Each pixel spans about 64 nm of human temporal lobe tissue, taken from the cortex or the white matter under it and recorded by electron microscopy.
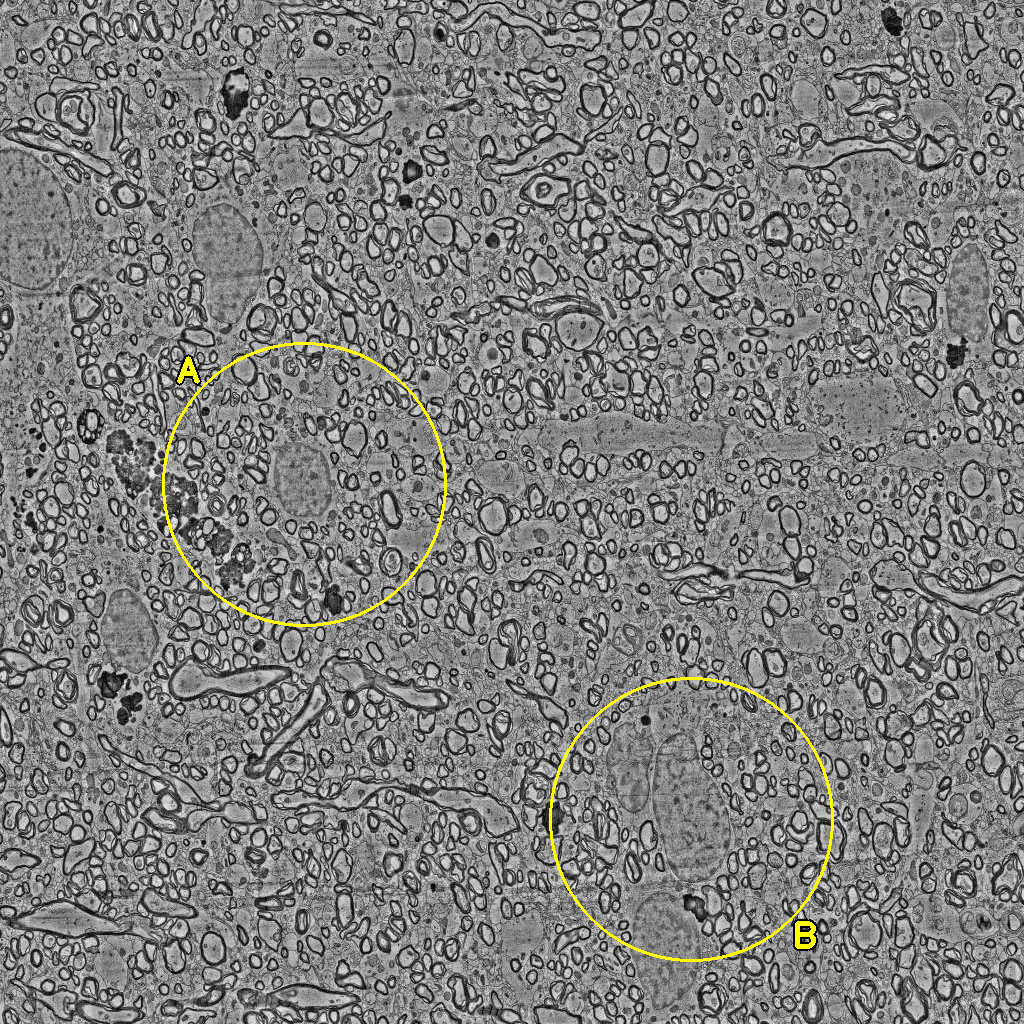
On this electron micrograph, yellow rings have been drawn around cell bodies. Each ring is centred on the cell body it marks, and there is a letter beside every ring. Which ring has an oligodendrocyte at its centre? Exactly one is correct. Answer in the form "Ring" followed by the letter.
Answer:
Ring A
